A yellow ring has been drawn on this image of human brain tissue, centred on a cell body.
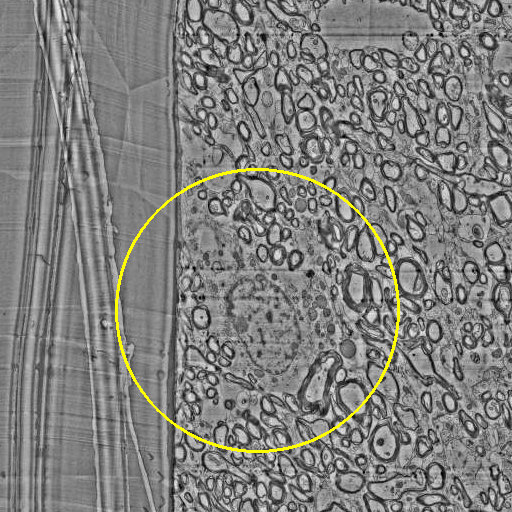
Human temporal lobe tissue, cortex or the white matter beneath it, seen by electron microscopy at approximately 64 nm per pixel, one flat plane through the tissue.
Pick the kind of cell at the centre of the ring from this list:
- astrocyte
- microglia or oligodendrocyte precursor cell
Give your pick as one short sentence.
The centre of the ring holds an astrocyte.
